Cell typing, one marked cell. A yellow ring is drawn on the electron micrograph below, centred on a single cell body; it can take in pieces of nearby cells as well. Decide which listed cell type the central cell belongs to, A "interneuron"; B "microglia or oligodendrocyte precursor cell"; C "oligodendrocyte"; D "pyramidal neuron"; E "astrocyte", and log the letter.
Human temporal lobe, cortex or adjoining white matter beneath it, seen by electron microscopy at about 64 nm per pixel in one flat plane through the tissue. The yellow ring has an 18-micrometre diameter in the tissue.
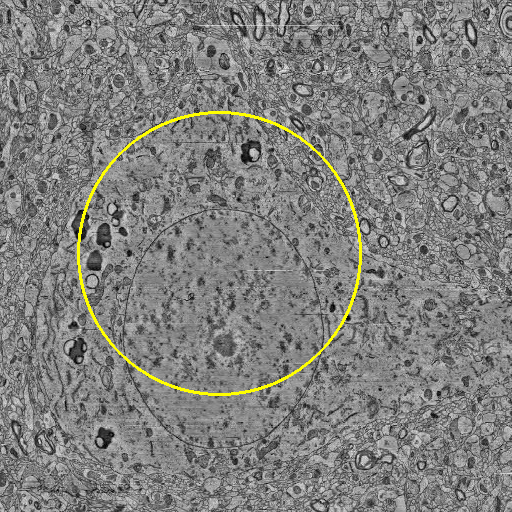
D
